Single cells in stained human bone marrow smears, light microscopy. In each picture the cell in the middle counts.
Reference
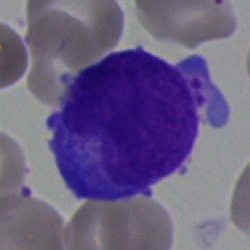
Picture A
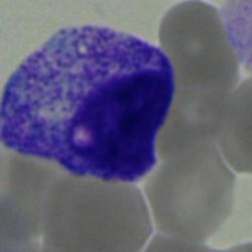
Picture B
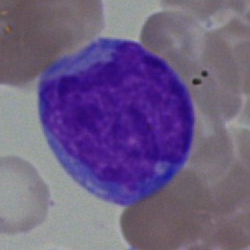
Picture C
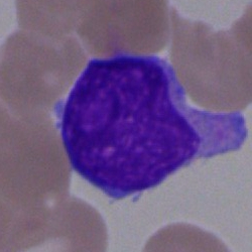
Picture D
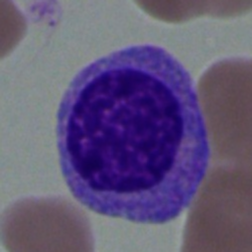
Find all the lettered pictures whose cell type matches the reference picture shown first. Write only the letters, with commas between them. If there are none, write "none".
B, C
